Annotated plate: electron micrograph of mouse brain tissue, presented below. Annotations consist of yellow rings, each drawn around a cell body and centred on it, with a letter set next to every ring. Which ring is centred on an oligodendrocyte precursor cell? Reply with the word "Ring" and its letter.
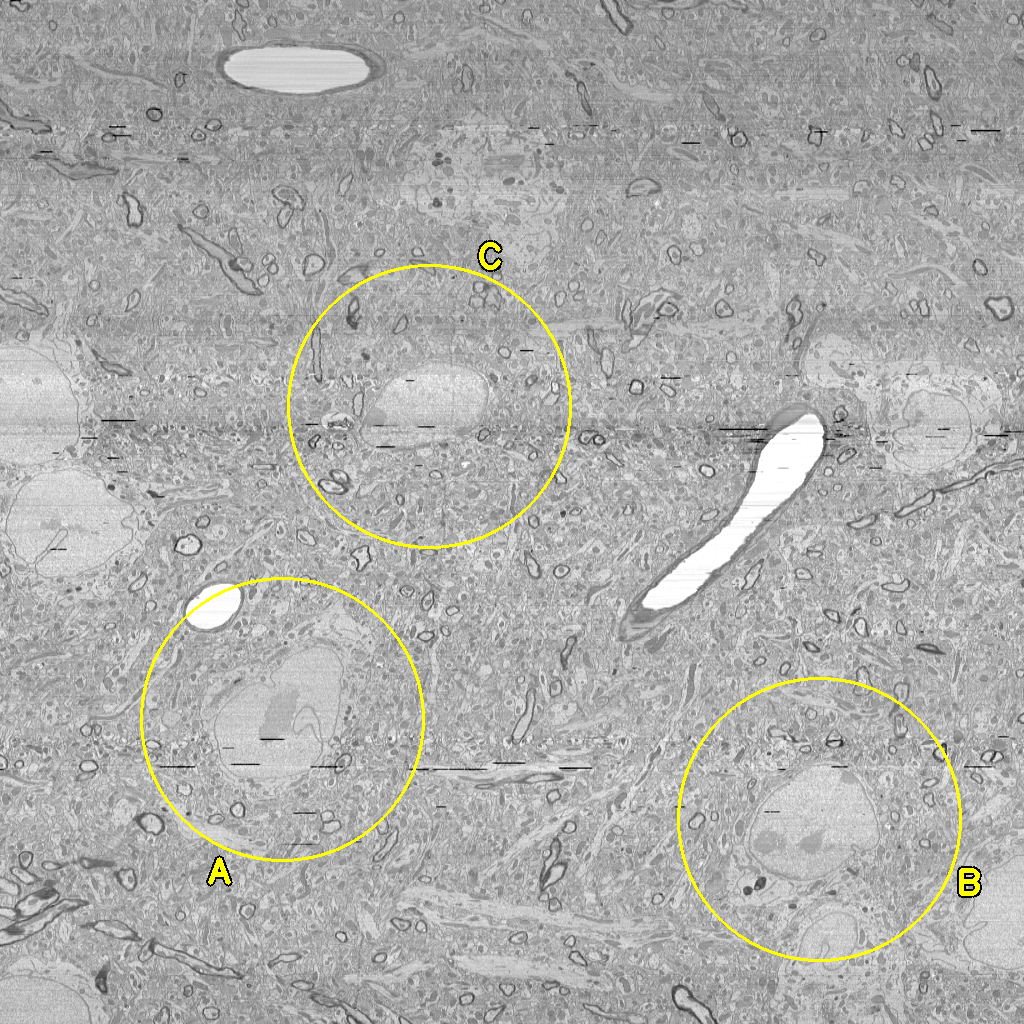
Ring B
